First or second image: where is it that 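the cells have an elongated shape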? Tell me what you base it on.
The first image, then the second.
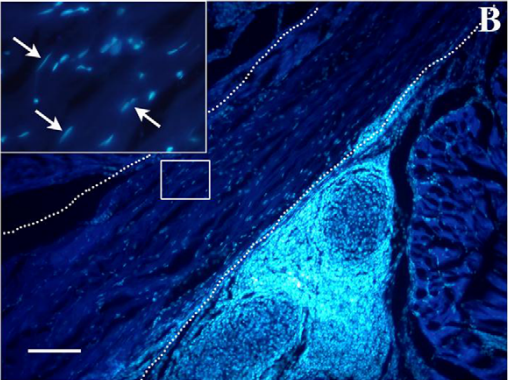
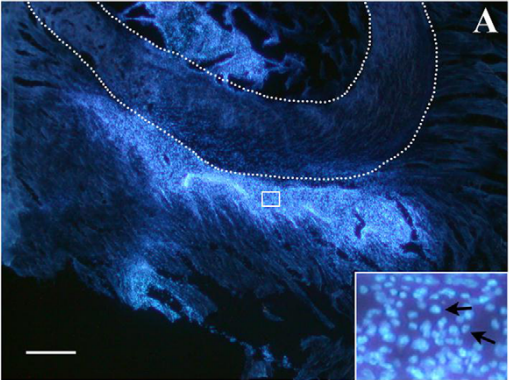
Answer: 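First image: the inset shows spindle-shaped nuclei aligned along the fibres. Second image: the inset shows round, densely packed nuclei. That points to this answer: the first image.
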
